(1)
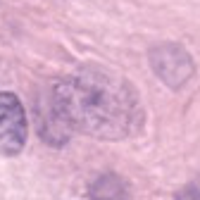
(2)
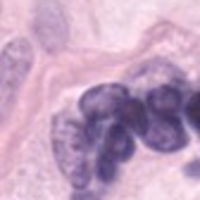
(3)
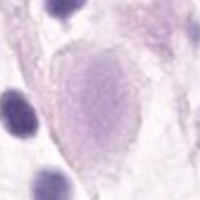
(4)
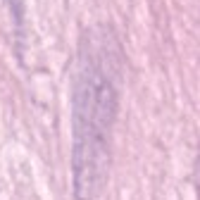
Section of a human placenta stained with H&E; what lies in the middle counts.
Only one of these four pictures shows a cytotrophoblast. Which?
Picture 1.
